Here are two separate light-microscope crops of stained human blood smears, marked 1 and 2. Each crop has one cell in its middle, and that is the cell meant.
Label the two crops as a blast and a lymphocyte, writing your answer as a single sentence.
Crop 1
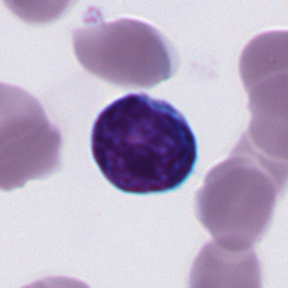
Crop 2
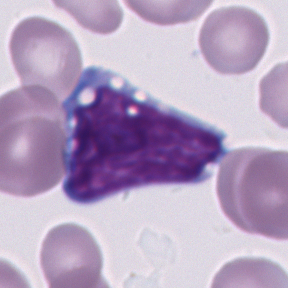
Placed in the middle of crop 1 is a lymphocyte, and in the middle of crop 2, a blast.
